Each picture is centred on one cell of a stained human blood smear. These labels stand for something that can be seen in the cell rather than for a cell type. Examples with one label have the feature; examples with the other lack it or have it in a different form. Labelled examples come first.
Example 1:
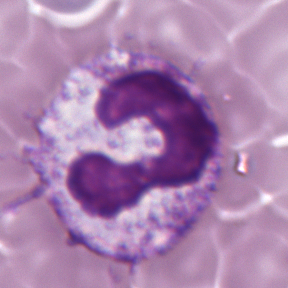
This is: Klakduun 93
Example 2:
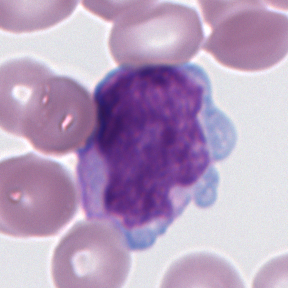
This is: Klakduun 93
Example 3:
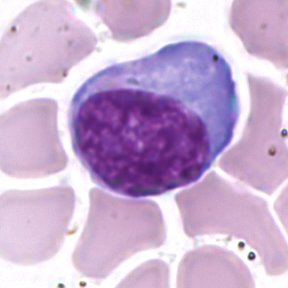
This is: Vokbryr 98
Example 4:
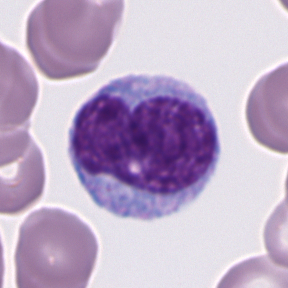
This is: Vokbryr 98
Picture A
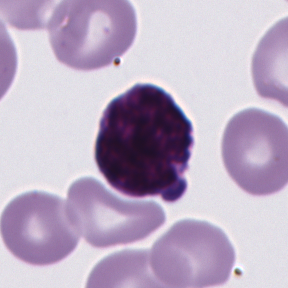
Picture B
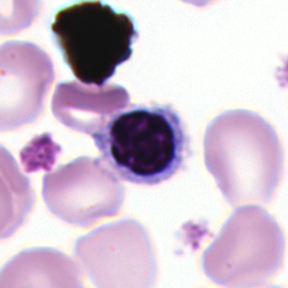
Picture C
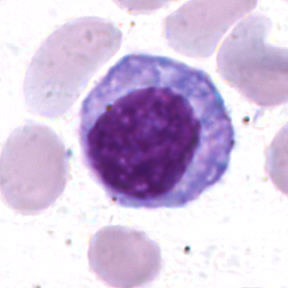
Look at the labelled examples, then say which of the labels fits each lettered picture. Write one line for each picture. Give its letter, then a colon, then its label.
A: Klakduun 93
B: Klakduun 93
C: Vokbryr 98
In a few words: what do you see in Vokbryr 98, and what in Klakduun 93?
Vokbryr 98: smooth outline; Klakduun 93: ragged outline or projections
